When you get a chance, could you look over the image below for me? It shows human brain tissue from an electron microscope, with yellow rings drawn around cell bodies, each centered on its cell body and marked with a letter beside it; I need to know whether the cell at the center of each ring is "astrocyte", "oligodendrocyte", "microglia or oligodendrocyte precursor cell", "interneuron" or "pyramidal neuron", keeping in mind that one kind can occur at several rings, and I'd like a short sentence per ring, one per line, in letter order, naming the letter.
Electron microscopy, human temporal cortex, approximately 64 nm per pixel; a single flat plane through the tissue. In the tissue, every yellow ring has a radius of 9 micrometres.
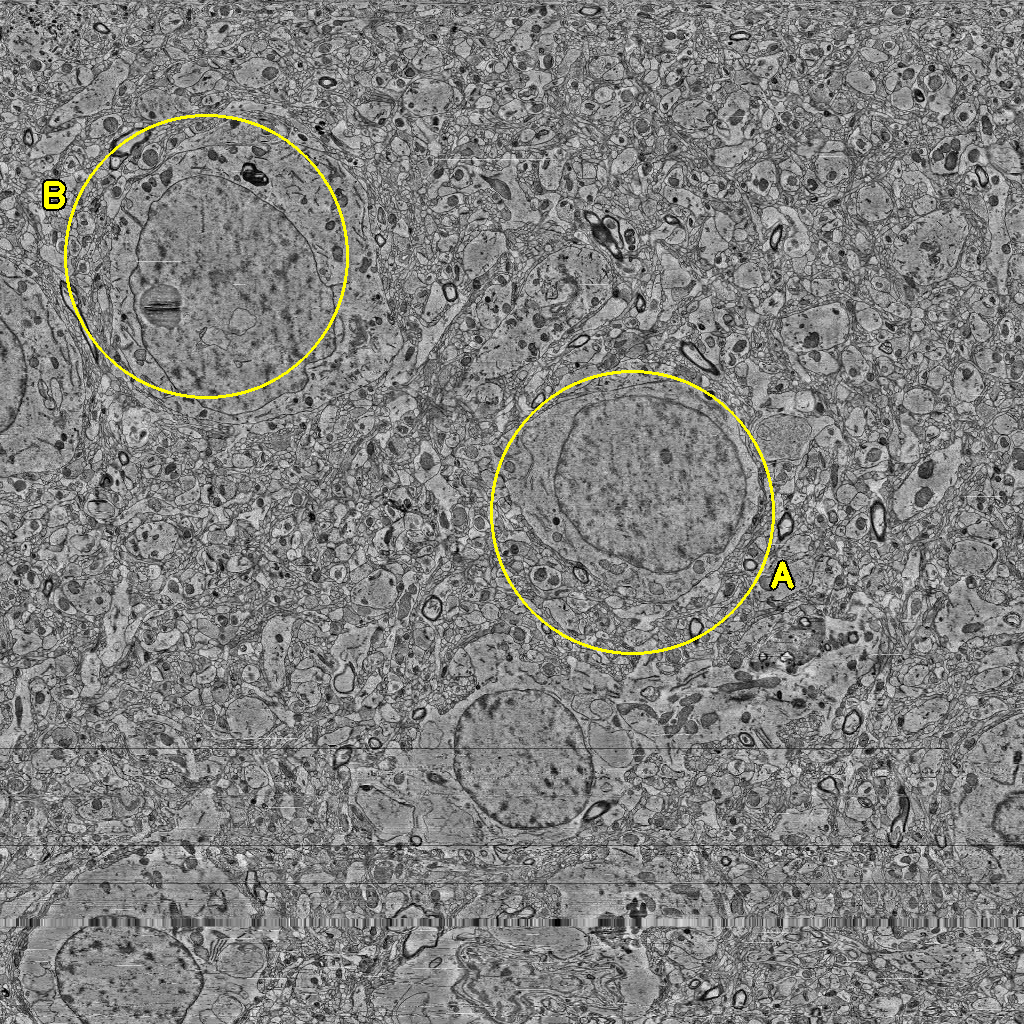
Ring A is centered on an interneuron.
Ring B is centered on a pyramidal neuron.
